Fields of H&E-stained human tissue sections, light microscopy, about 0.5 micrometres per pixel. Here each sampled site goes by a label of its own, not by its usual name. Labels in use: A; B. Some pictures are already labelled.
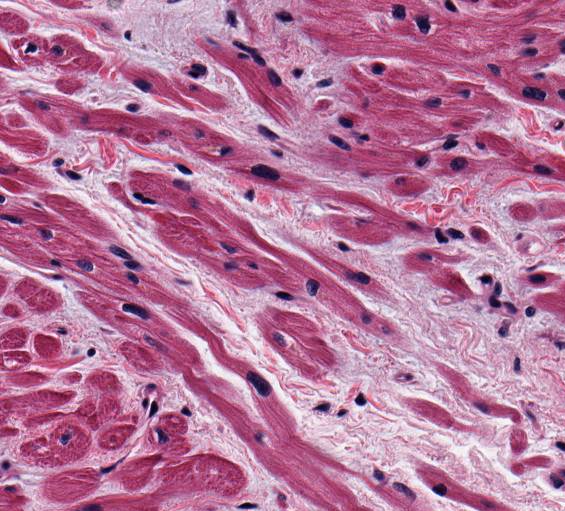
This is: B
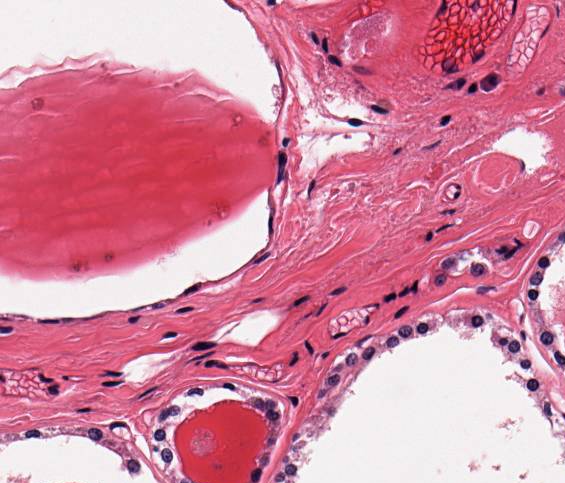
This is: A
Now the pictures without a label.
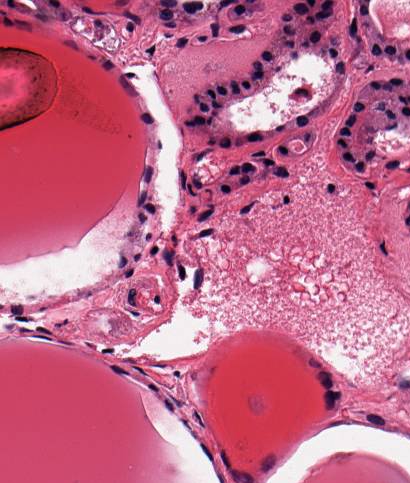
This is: A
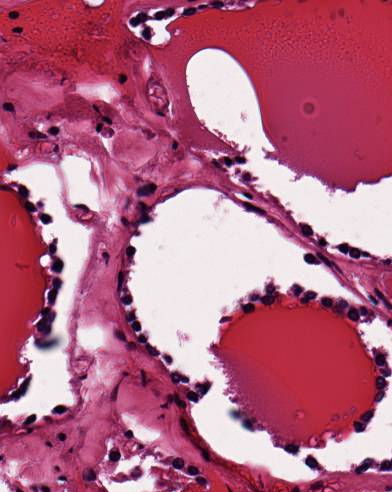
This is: A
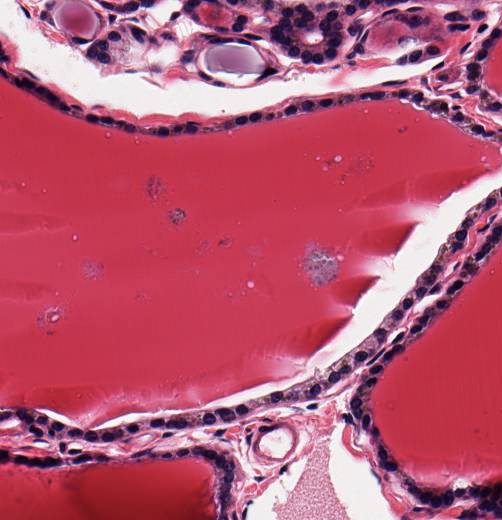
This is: A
